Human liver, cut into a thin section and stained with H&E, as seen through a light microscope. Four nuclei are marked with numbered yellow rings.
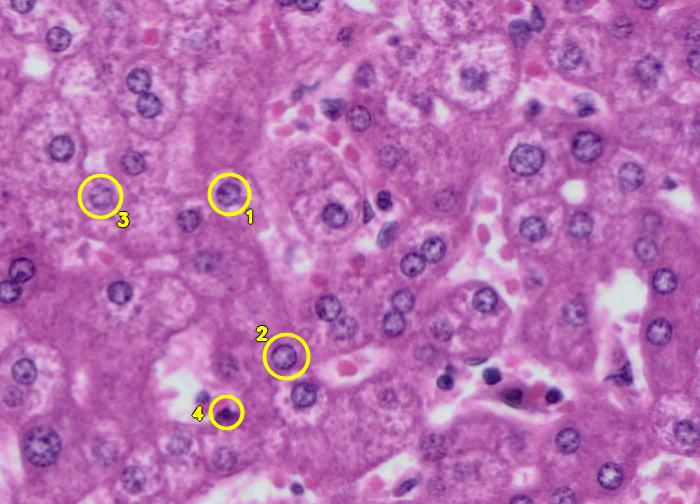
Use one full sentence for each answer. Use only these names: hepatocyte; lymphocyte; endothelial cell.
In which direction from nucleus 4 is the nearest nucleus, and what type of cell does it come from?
Lying above and to the left of nucleus 4, the nearest nucleus is that of a lymphocyte.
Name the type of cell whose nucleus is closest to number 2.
The nucleus nearest to number 2 is that of a hepatocyte.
